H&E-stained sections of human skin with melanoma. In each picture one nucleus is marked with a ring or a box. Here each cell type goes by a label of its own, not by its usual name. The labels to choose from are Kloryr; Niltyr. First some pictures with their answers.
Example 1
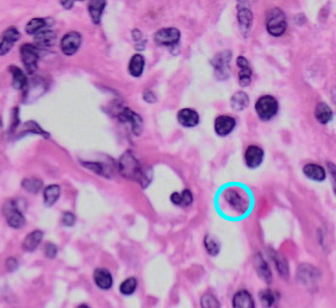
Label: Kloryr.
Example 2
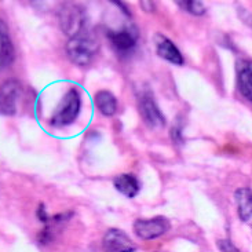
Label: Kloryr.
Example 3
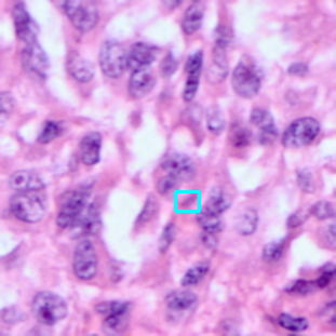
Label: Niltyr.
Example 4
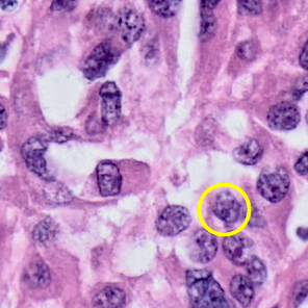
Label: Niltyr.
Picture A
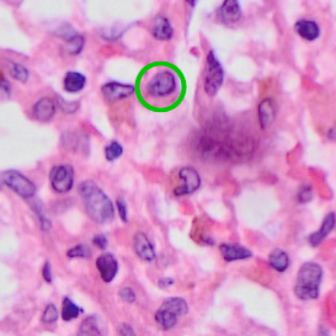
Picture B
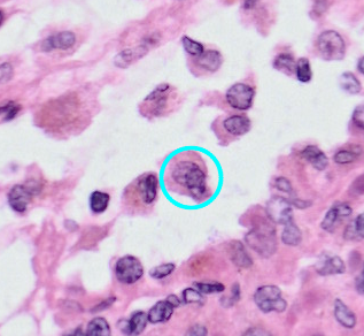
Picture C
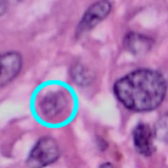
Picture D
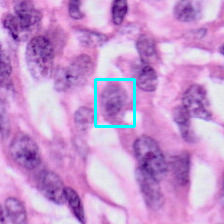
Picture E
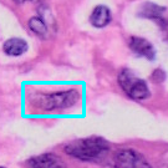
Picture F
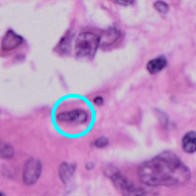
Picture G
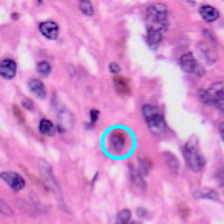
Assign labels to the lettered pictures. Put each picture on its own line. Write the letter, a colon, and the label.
A: Kloryr.
B: Kloryr.
C: Niltyr.
D: Niltyr.
E: Kloryr.
F: Kloryr.
G: Kloryr.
